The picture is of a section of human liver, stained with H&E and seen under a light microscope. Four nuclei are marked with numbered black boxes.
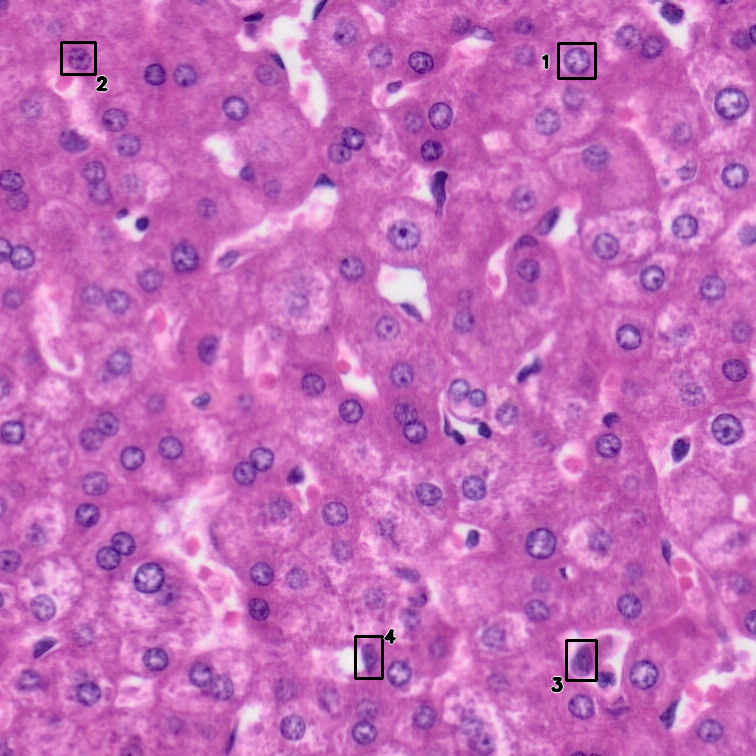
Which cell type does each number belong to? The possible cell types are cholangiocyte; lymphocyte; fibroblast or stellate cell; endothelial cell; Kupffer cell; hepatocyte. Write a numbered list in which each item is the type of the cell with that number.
1. hepatocyte
2. hepatocyte
3. Kupffer cell
4. endothelial cell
